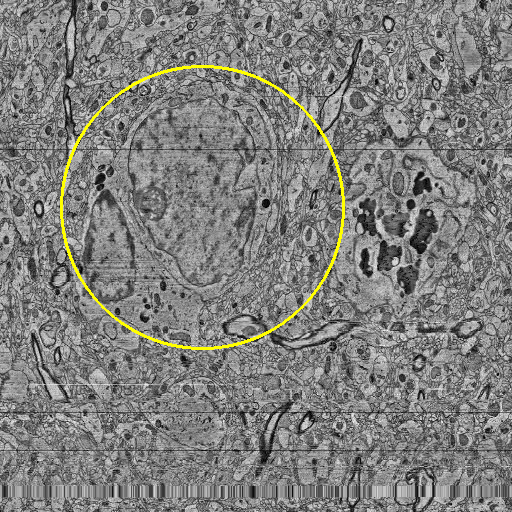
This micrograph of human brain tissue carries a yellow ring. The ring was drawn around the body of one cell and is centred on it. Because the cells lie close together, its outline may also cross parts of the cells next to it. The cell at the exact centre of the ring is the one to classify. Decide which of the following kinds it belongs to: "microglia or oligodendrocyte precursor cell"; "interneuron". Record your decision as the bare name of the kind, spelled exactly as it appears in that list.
interneuron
